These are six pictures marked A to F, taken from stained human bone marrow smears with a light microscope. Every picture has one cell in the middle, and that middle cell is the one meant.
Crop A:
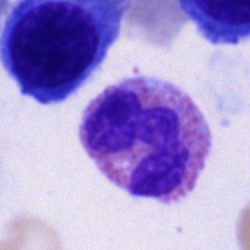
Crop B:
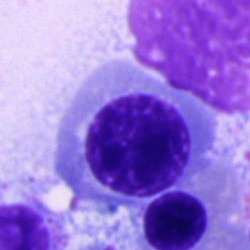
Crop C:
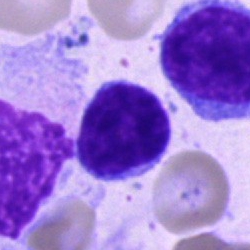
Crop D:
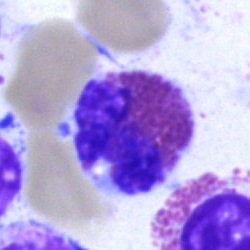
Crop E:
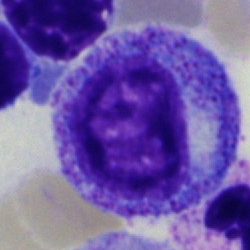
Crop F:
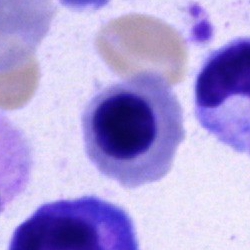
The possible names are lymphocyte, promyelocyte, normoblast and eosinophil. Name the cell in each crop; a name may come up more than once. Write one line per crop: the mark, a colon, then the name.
A: eosinophil
B: normoblast
C: lymphocyte
D: eosinophil
E: promyelocyte
F: normoblast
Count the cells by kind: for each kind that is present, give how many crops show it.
eosinophil: 2
normoblast: 2
lymphocyte: 1
promyelocyte: 1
